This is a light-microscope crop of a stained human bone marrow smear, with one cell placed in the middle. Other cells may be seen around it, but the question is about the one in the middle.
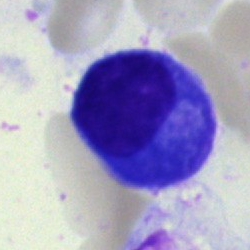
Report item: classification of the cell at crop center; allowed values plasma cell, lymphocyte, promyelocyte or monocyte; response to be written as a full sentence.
Looking at the middle of the crop, the cell there is a plasma cell.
